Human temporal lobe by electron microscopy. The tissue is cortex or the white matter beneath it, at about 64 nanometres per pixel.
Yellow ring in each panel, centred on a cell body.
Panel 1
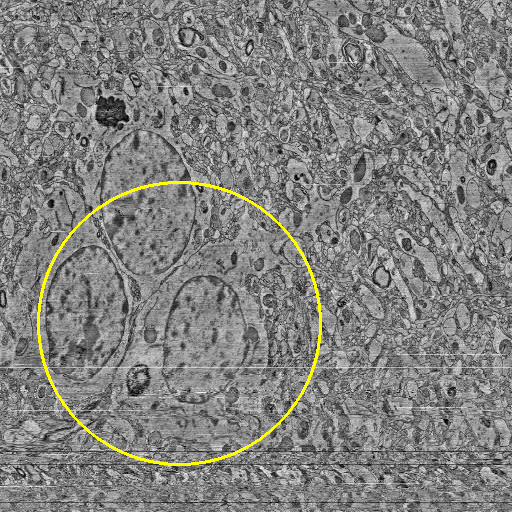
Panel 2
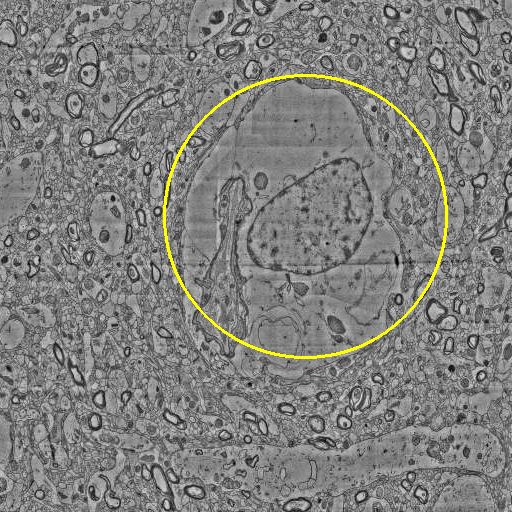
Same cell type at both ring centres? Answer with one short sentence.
Yes, both cells are of the same type.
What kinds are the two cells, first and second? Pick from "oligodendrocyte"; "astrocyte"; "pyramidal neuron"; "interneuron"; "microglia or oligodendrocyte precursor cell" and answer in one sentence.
In each picture the ringed cell is an astrocyte.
